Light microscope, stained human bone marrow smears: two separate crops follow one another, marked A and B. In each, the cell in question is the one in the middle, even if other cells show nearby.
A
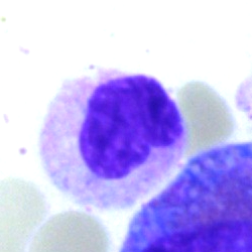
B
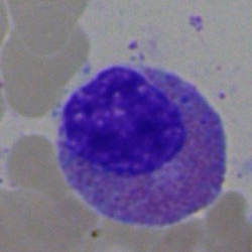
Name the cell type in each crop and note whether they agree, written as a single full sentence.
No, crop A shows a metamyelocyte, whereas an eosinophil is what crop B shows.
